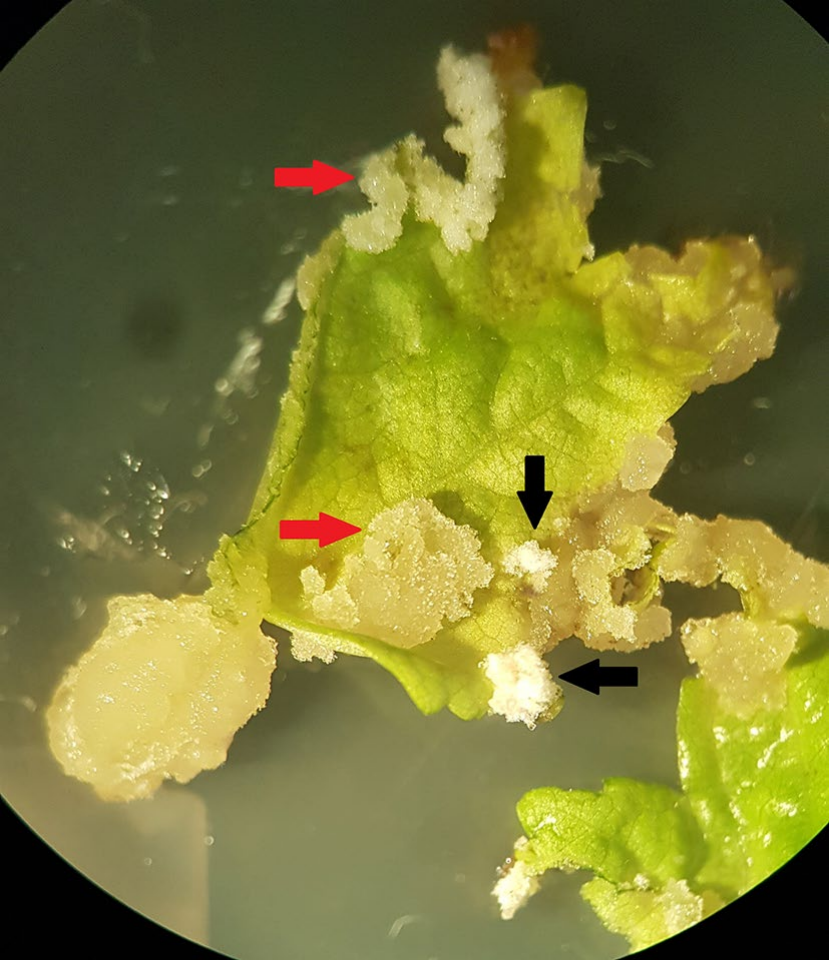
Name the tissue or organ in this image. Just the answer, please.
Leaf explant.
